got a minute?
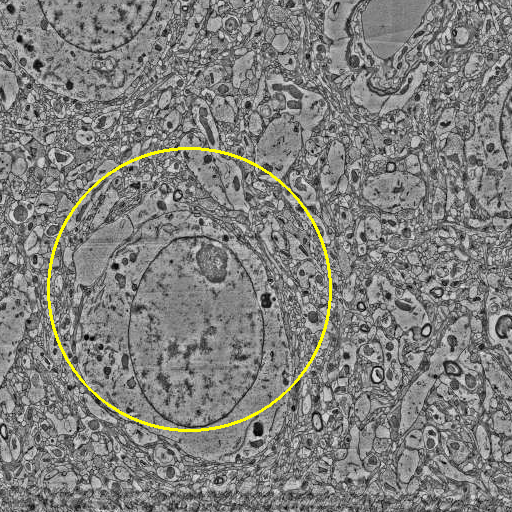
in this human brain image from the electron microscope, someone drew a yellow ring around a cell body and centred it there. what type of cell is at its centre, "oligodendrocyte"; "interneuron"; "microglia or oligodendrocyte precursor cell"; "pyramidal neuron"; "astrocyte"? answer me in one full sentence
It's a pyramidal neuron at the middle of that yellow ring in the shot.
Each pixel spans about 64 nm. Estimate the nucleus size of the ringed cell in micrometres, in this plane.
In this plane, roughly 12 by 9 micrometres.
